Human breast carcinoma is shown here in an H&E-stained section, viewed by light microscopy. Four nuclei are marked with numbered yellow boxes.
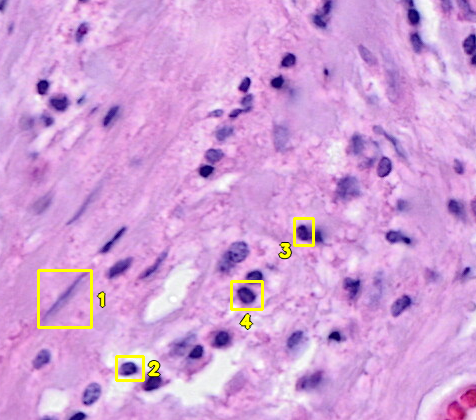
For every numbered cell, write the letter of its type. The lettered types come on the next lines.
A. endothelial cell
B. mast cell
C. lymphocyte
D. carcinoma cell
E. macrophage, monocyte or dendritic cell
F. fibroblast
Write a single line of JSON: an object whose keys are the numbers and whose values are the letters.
{"1": "F", "2": "C", "3": "C", "4": "C"}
